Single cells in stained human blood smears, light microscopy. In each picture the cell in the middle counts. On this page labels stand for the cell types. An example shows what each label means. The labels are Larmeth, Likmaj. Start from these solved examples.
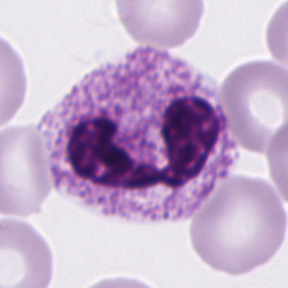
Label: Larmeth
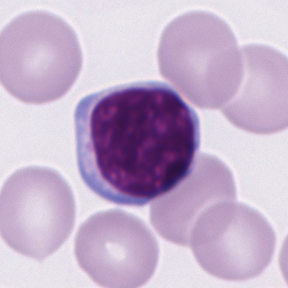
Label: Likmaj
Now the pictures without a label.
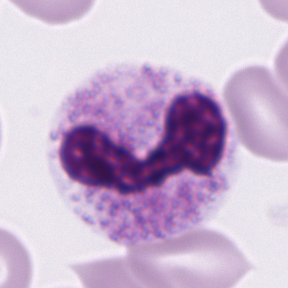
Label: Larmeth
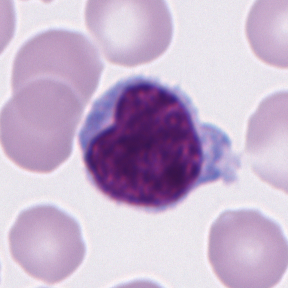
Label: Likmaj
